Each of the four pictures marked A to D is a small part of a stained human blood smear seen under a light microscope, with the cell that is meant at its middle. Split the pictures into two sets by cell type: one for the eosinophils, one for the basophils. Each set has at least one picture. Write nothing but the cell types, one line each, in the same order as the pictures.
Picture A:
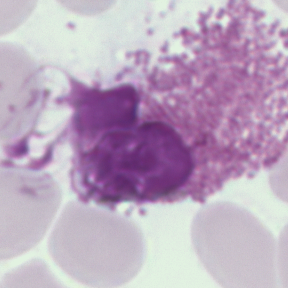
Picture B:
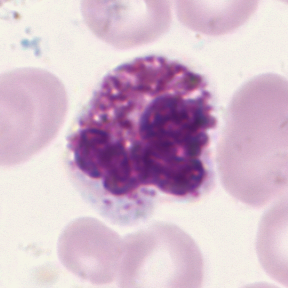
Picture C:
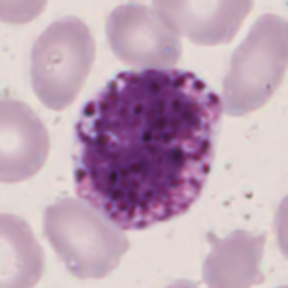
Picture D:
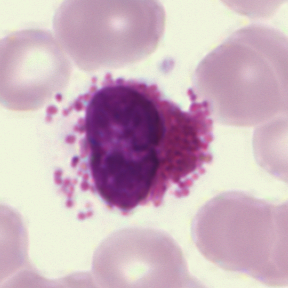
eosinophil
eosinophil
basophil
eosinophil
